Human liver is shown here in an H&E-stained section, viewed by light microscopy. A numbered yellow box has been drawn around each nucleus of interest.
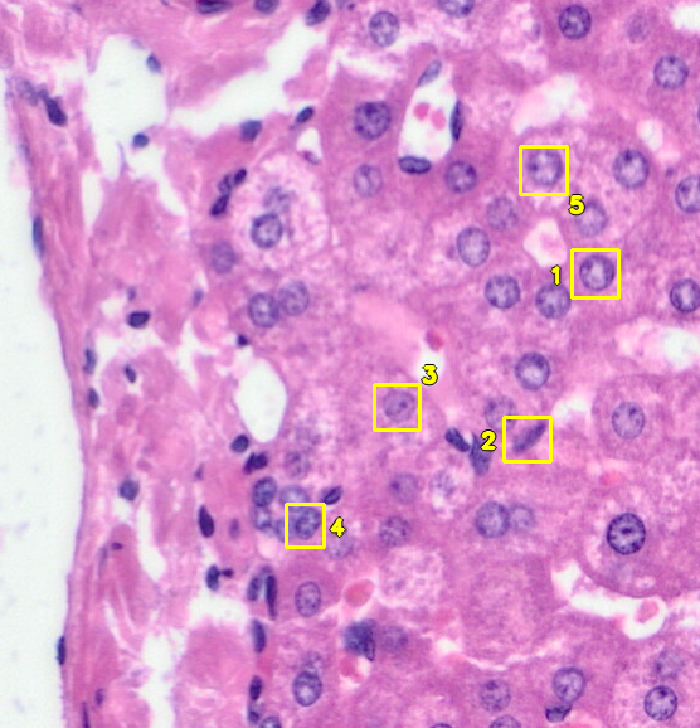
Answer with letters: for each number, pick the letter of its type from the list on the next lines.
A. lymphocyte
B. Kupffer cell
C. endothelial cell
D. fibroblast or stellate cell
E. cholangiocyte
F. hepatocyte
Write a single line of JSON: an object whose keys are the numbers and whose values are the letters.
{"1": "F", "2": "D", "3": "F", "4": "E", "5": "F"}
